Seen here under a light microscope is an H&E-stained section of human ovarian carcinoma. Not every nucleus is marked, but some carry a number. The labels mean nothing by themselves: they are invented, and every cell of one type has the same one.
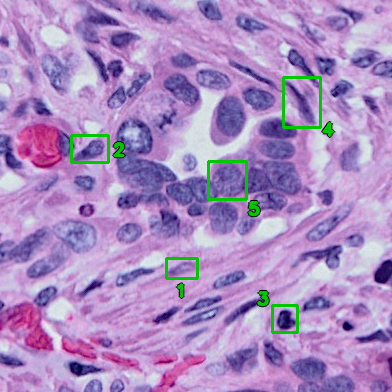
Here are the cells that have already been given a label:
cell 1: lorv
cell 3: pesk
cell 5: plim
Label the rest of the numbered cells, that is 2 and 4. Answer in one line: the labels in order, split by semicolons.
lorv; lorv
